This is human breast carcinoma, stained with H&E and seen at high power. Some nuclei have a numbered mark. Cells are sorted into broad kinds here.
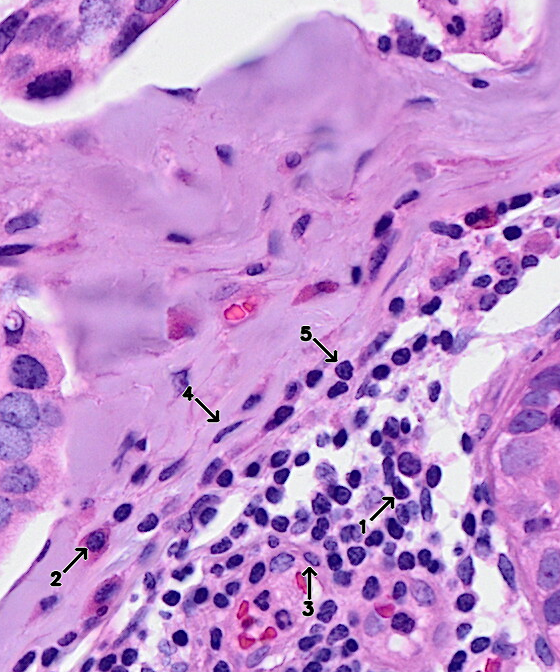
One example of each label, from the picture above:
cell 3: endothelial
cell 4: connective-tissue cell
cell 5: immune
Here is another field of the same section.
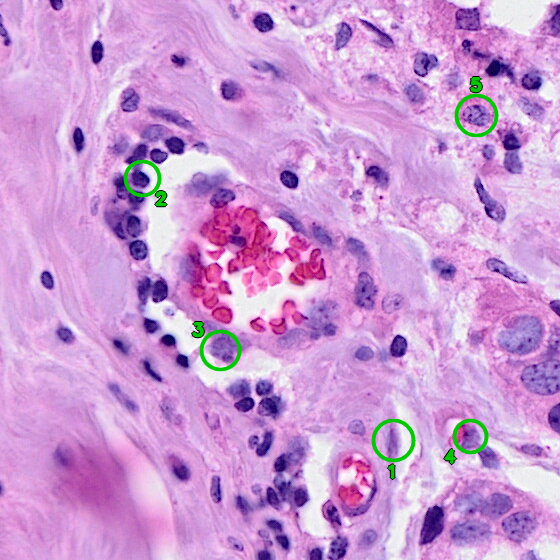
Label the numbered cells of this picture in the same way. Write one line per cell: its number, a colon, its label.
1: connective-tissue cell
2: immune
3: endothelial
4: endothelial
5: immune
